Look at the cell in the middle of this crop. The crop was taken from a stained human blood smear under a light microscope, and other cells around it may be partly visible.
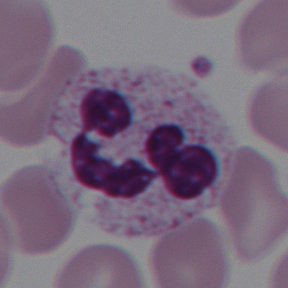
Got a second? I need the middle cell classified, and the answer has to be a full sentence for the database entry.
This crop's central cell is a neutrophil.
